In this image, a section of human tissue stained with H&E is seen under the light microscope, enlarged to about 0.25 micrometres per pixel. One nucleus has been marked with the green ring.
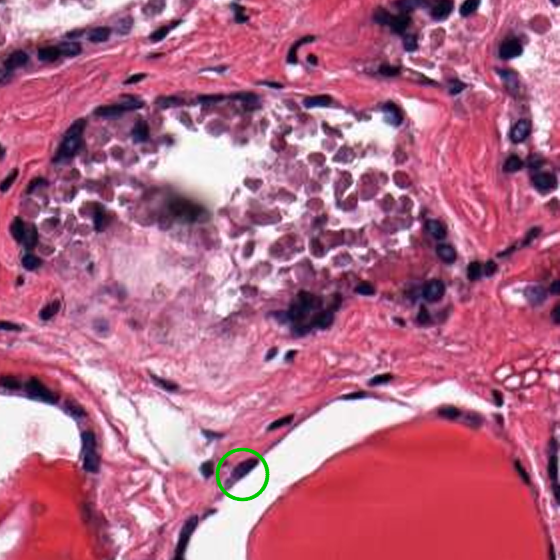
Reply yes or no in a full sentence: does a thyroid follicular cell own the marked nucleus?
Yes, the marked nucleus is contained in a thyroid follicular cell.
